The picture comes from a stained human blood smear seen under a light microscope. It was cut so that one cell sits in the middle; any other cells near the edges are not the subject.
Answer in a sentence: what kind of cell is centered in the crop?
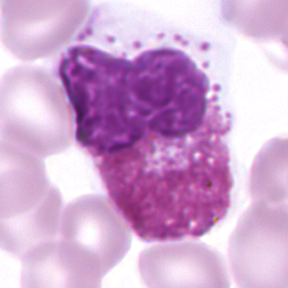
To answer, the cell in the center of the crop is an eosinophil.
